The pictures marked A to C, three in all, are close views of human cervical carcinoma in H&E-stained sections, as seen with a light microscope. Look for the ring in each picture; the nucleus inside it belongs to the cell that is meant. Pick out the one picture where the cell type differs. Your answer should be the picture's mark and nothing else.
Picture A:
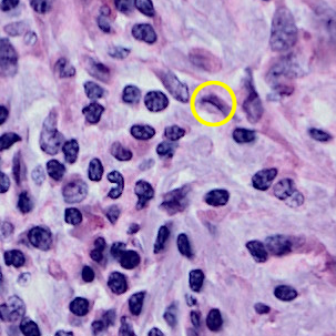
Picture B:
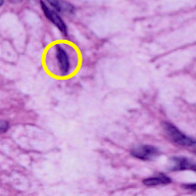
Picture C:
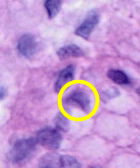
A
